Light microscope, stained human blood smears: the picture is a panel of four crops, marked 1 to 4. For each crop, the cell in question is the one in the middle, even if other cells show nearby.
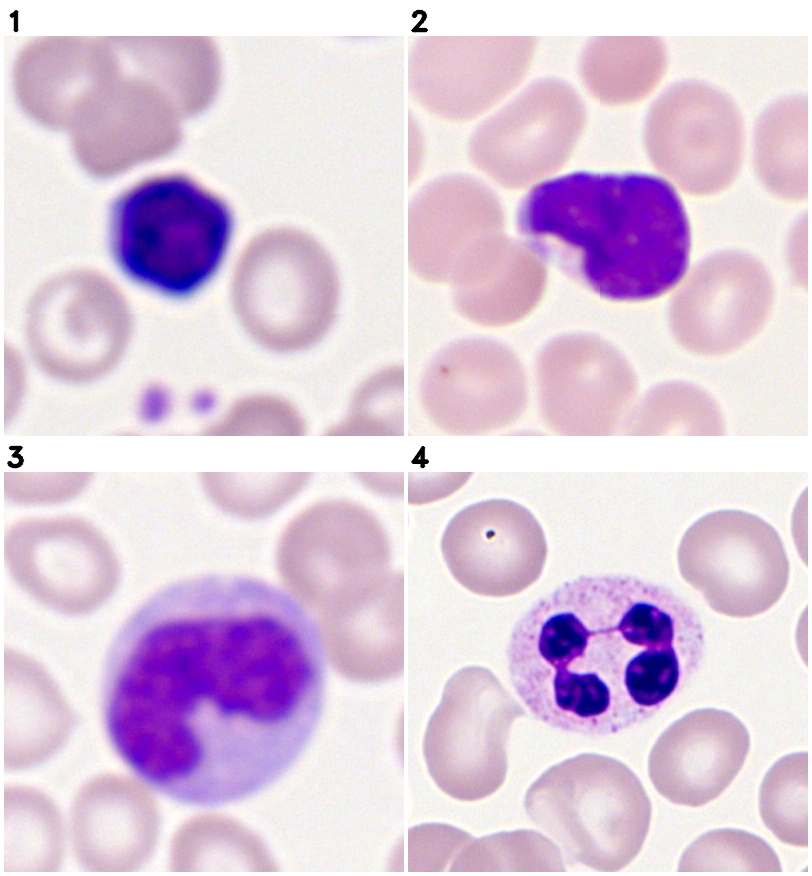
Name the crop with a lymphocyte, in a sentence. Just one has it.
Crop 1 is the crop in which a lymphocyte is shown.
